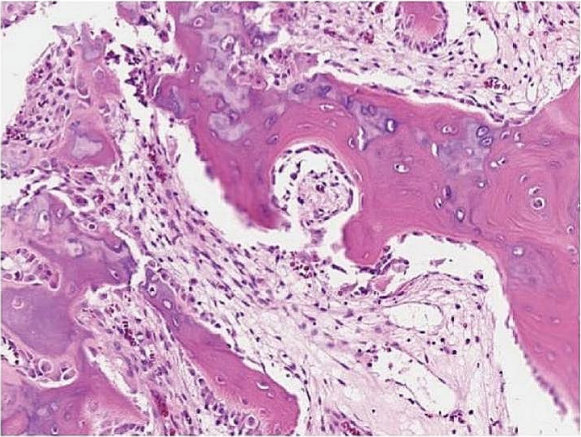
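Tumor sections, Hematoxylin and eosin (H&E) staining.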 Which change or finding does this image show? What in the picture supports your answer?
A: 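Deep pink bone trabeculae contain patches of bluish-purple cartilage-like matrix with cells in lacunae. Loose cellular stroma lies between the trabeculae.
Answer: endochondral ossification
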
